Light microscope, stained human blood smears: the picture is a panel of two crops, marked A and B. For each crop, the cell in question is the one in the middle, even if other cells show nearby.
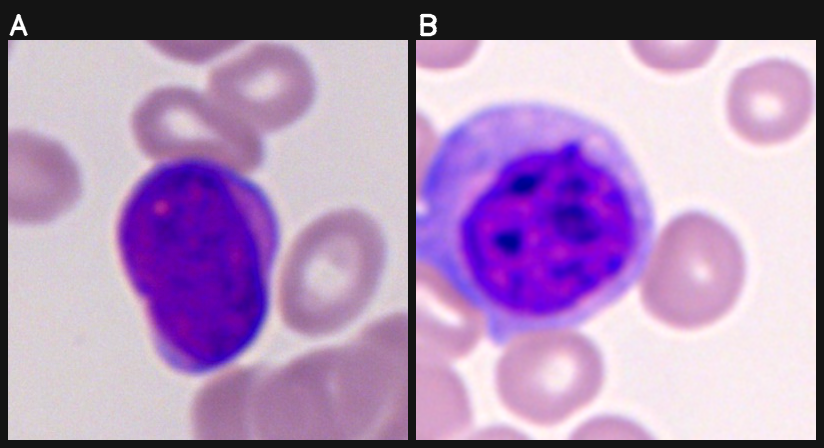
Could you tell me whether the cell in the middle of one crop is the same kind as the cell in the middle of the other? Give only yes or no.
no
